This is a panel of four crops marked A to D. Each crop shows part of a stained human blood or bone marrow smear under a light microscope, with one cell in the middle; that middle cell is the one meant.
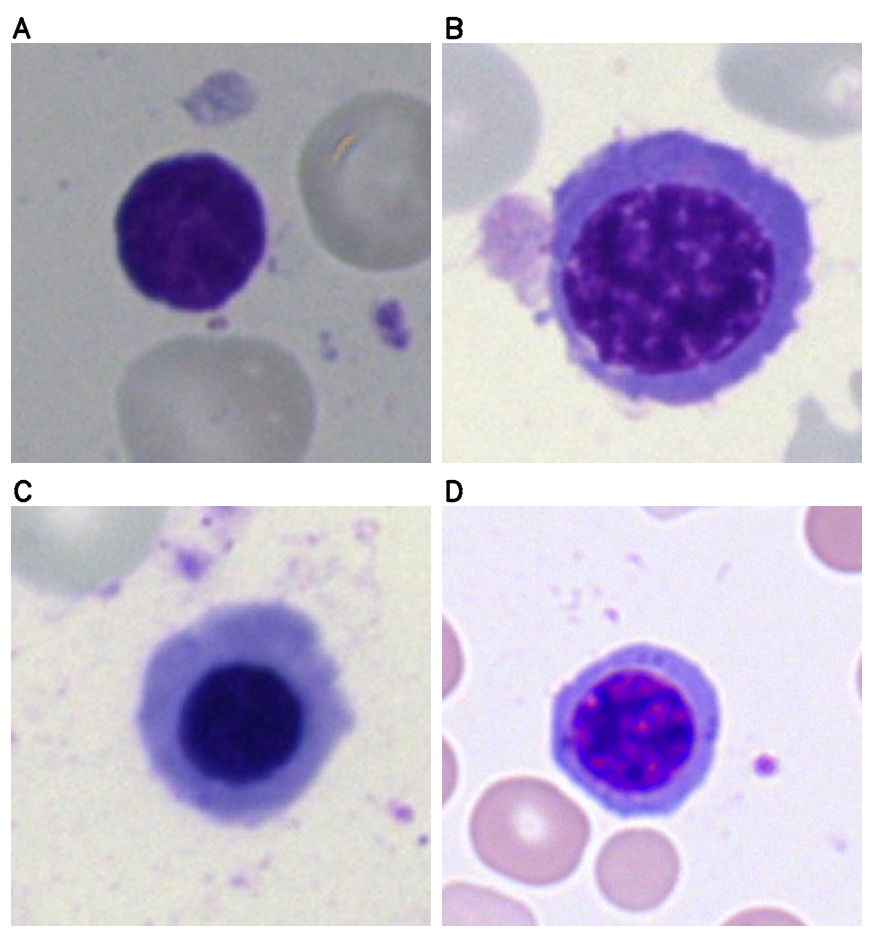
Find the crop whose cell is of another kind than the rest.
A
